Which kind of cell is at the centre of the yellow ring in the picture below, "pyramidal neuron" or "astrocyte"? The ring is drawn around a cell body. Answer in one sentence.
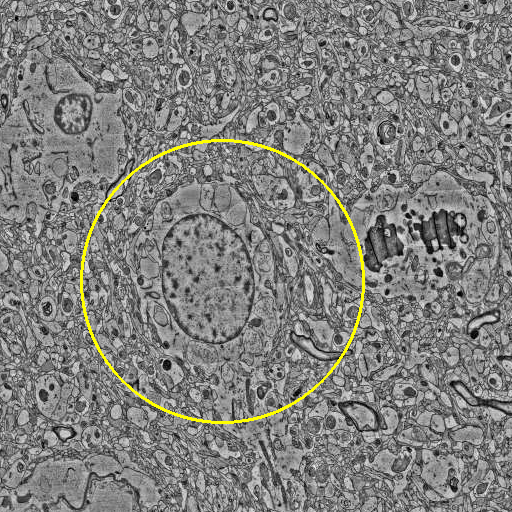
The ring's central cell is an astrocyte.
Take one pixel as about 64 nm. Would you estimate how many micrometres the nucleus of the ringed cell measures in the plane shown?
In this plane the nucleus measures roughly 8 by 6 micrometers.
